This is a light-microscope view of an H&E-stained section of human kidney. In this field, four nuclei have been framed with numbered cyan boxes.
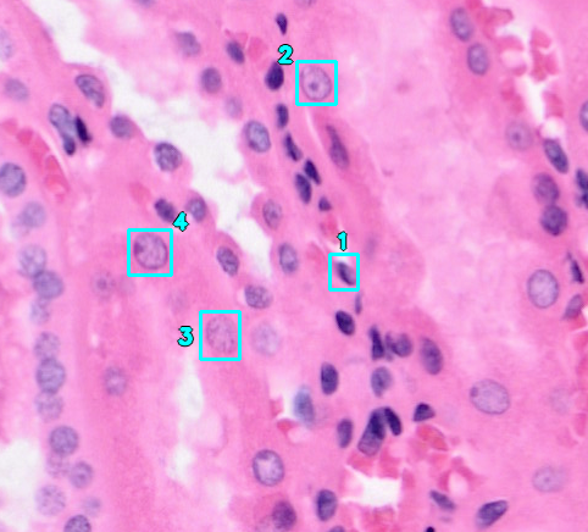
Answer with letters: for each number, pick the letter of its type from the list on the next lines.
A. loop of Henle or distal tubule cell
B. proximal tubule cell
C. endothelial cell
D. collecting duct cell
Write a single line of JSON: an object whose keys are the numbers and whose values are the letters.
{"1": "C", "2": "B", "3": "B", "4": "B"}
